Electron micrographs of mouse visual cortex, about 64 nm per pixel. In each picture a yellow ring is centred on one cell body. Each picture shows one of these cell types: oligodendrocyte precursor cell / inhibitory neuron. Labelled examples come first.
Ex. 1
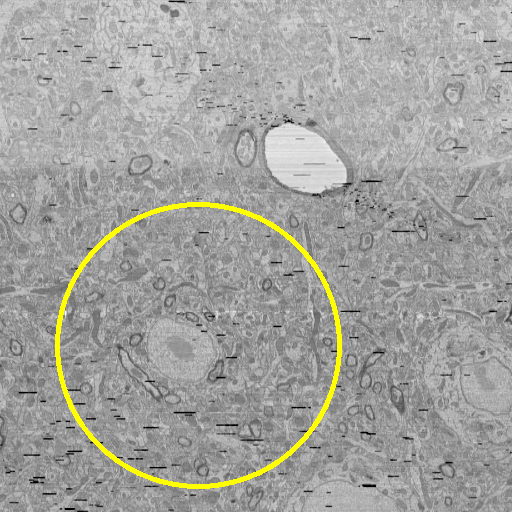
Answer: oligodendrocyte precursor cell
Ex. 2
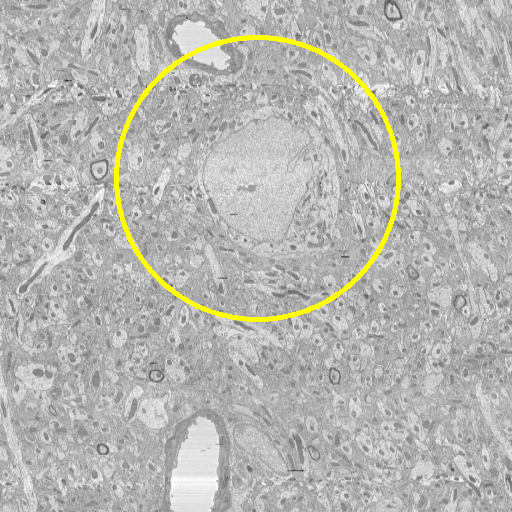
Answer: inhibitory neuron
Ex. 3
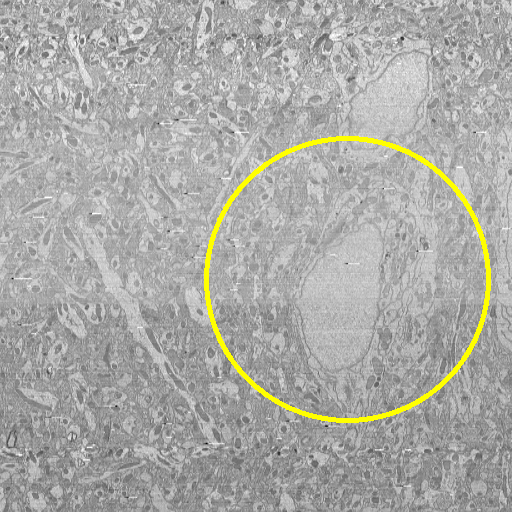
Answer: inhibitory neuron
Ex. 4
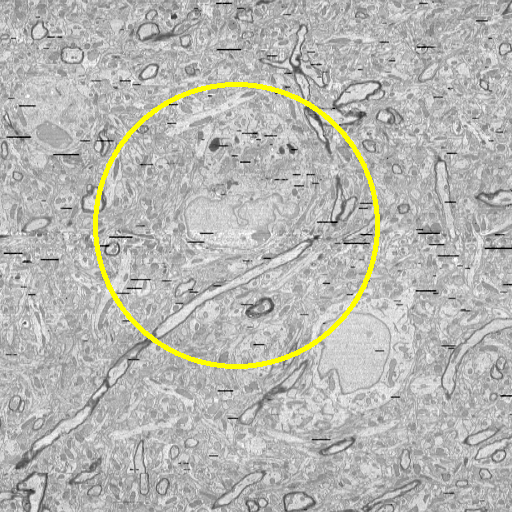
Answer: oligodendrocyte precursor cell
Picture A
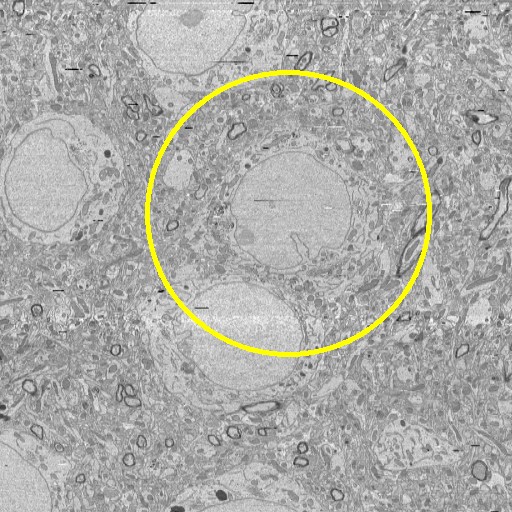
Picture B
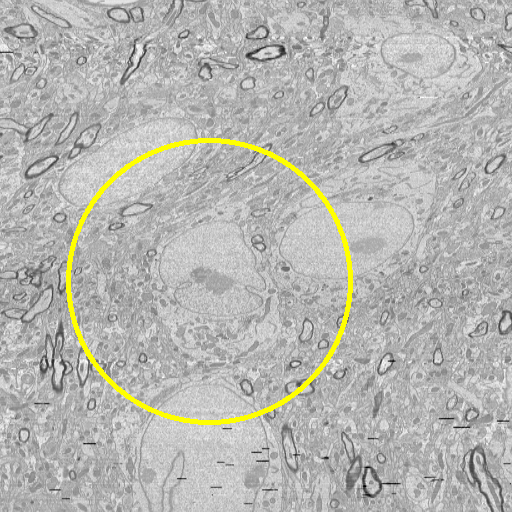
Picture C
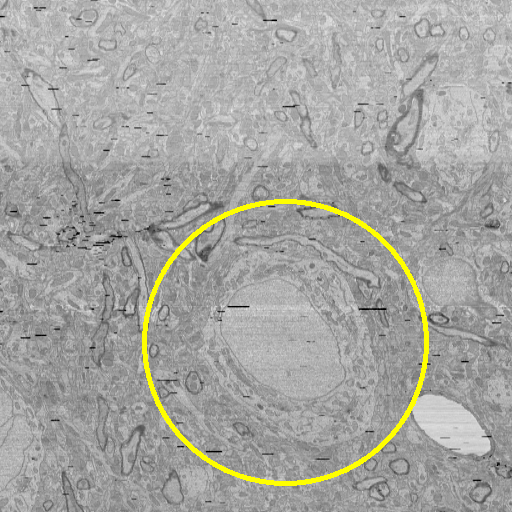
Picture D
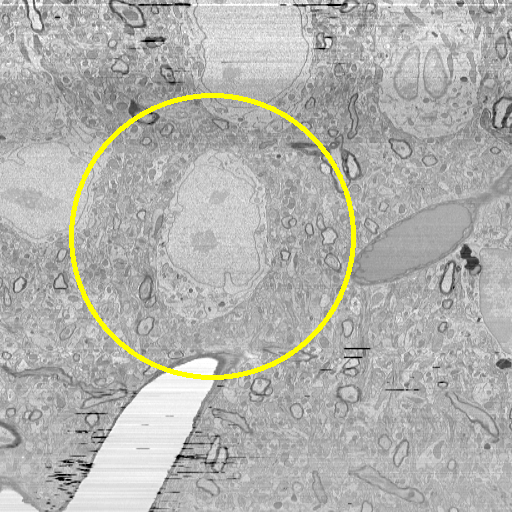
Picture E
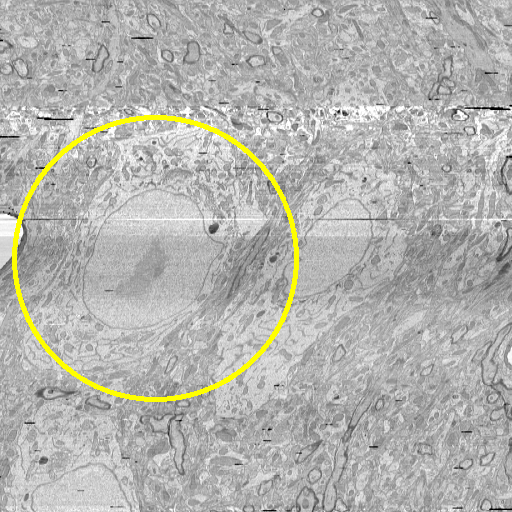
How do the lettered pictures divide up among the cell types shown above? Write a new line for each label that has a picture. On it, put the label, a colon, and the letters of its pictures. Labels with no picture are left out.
inhibitory neuron: A, B, C, D, E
